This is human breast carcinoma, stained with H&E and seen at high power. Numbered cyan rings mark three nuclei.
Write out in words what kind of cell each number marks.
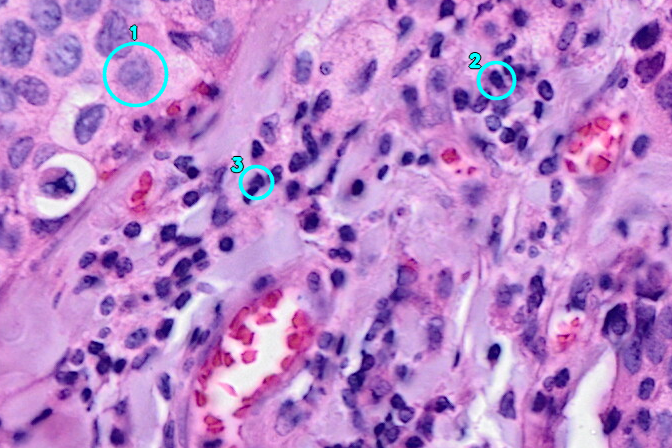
Cell 1 is a carcinoma cell, cell 2 is a lymphocyte and cell 3 is a lymphocyte.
